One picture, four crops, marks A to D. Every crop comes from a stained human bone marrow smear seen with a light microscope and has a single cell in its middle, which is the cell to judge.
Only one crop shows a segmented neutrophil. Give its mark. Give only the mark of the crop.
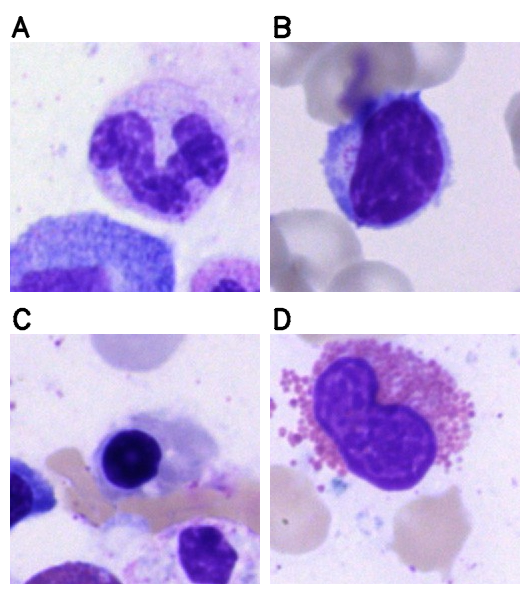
A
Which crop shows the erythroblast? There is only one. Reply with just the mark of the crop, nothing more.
C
